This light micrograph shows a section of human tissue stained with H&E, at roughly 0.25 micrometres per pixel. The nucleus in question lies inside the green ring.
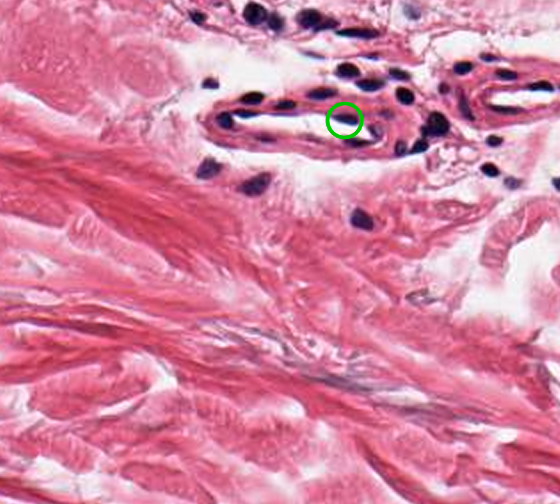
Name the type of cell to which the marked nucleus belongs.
endothelial cell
